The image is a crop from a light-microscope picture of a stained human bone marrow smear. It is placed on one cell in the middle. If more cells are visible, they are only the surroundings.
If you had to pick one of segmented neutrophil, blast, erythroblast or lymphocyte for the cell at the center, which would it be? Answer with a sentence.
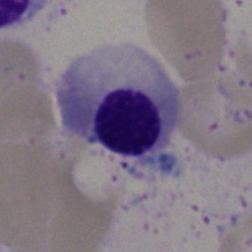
Looking at the middle of the crop, the cell there is an erythroblast.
